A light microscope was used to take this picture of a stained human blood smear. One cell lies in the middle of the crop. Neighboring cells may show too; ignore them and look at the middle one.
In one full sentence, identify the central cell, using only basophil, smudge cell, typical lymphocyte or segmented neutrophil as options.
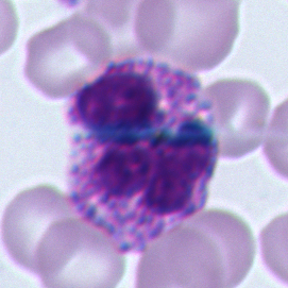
Occupying the centre of the crop is a basophil.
